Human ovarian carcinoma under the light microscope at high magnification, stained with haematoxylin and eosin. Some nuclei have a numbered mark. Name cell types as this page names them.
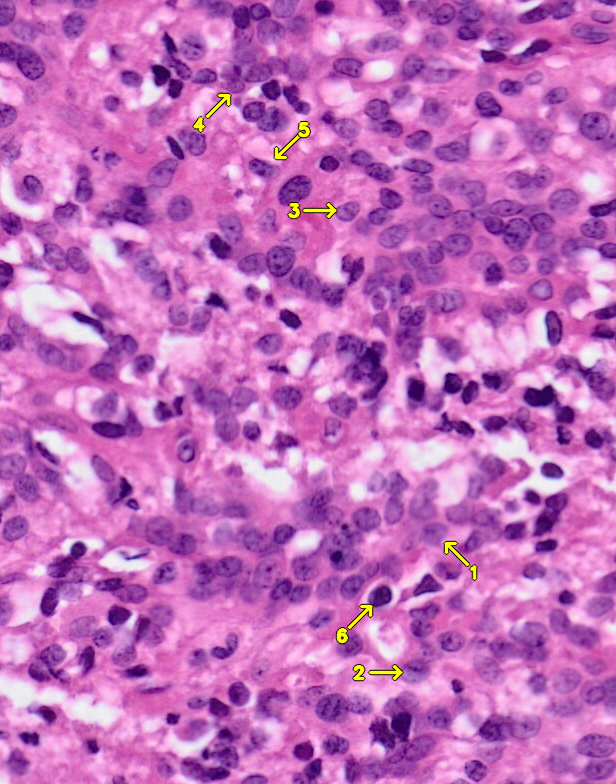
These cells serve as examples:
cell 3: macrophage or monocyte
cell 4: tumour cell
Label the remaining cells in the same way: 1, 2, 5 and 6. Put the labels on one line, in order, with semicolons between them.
tumour cell; tumour cell; macrophage or monocyte; tumour cell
